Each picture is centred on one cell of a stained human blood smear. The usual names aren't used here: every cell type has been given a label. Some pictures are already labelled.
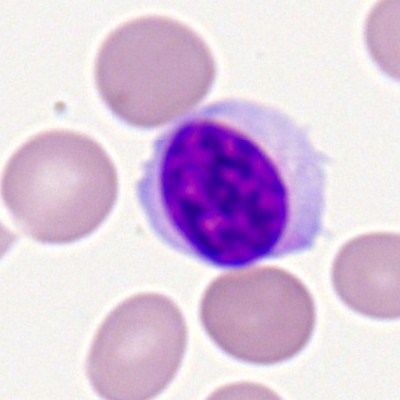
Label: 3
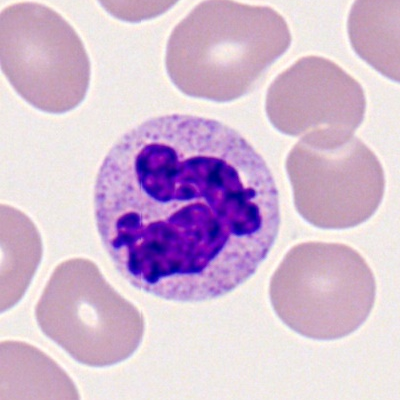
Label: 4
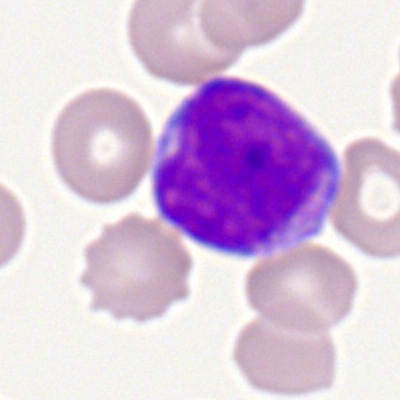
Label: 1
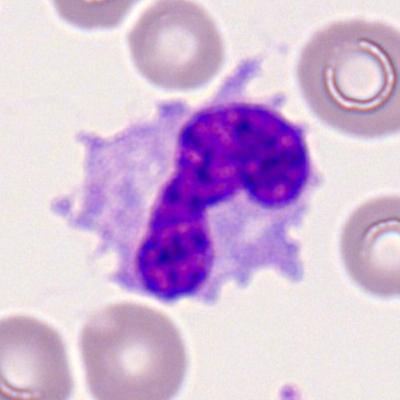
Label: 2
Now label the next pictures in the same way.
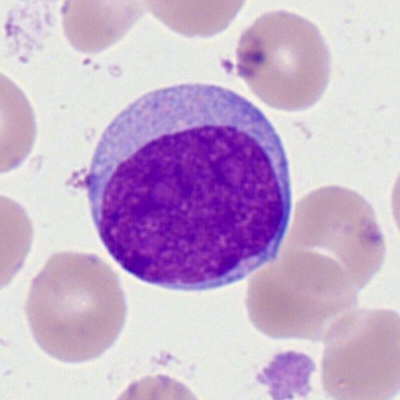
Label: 1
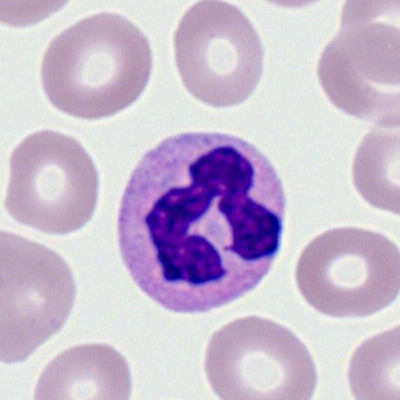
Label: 4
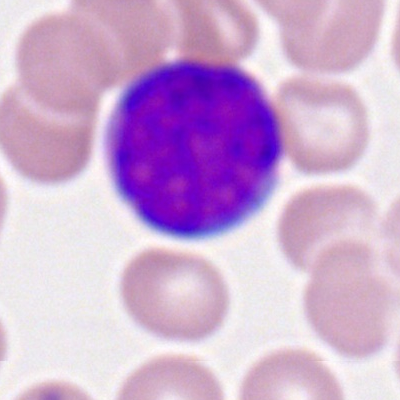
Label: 1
